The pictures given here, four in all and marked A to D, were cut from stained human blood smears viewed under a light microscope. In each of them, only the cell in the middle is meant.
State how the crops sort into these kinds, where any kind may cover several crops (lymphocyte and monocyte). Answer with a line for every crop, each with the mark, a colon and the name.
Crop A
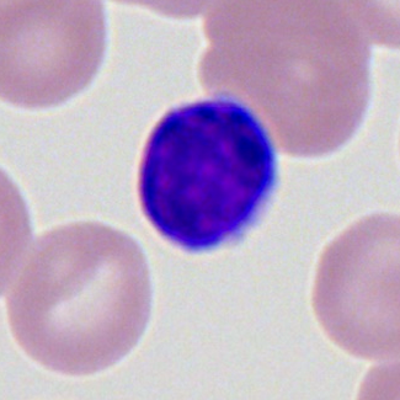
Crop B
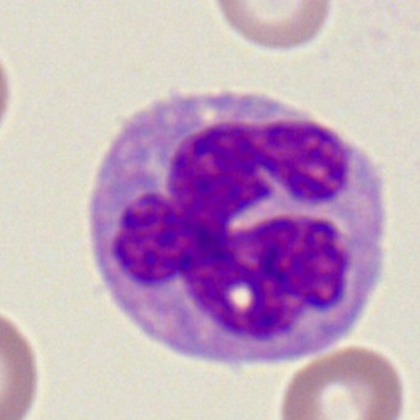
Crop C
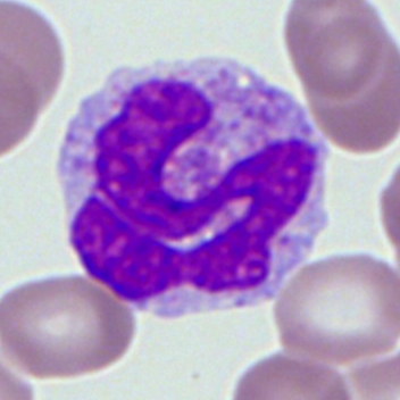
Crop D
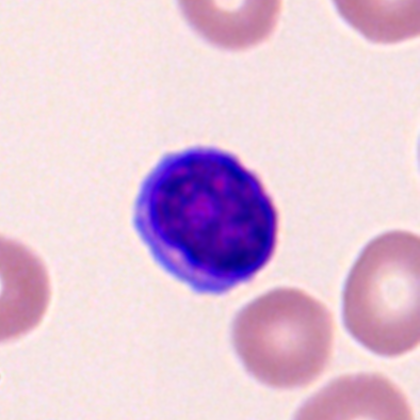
A: lymphocyte
B: monocyte
C: monocyte
D: lymphocyte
